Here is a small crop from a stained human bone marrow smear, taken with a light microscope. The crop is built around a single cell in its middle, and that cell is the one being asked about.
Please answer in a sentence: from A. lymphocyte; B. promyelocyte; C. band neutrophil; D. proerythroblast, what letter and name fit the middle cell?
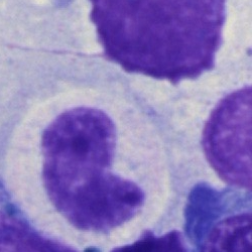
In the middle of the crop is a band neutrophil; option C is therefore correct.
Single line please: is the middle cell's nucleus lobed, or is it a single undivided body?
The nucleus holds together as a single compact mass, round, oval or kidney-like.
